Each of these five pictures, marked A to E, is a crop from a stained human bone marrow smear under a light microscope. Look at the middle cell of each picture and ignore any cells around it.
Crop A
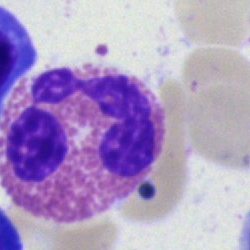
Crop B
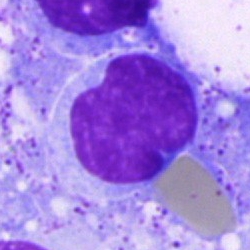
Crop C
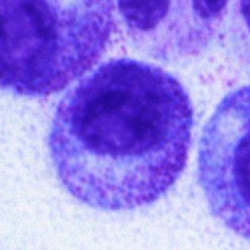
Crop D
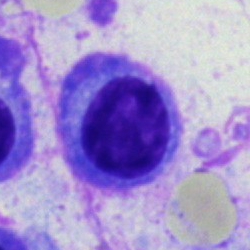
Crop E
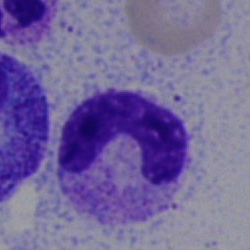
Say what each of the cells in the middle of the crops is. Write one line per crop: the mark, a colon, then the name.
A: eosinophil
B: blast
C: myelocyte
D: plasma cell
E: band neutrophil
